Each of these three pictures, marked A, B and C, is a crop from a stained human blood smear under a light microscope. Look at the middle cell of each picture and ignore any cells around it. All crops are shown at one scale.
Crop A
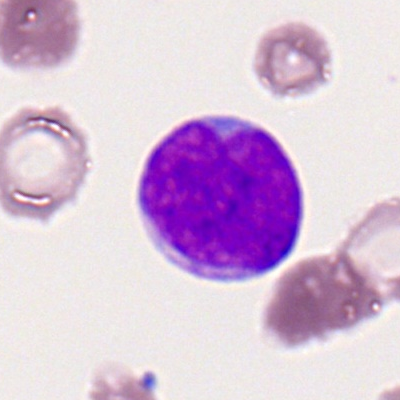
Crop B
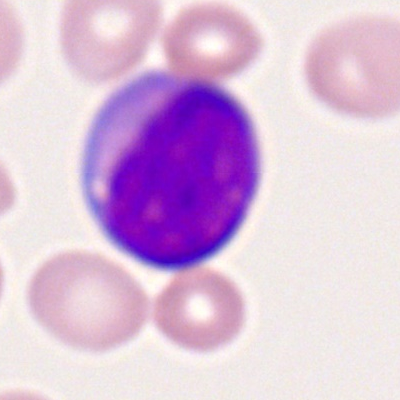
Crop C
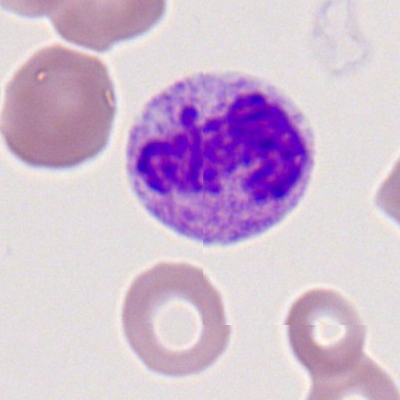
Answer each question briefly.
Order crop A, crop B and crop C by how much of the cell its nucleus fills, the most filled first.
A, B, C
